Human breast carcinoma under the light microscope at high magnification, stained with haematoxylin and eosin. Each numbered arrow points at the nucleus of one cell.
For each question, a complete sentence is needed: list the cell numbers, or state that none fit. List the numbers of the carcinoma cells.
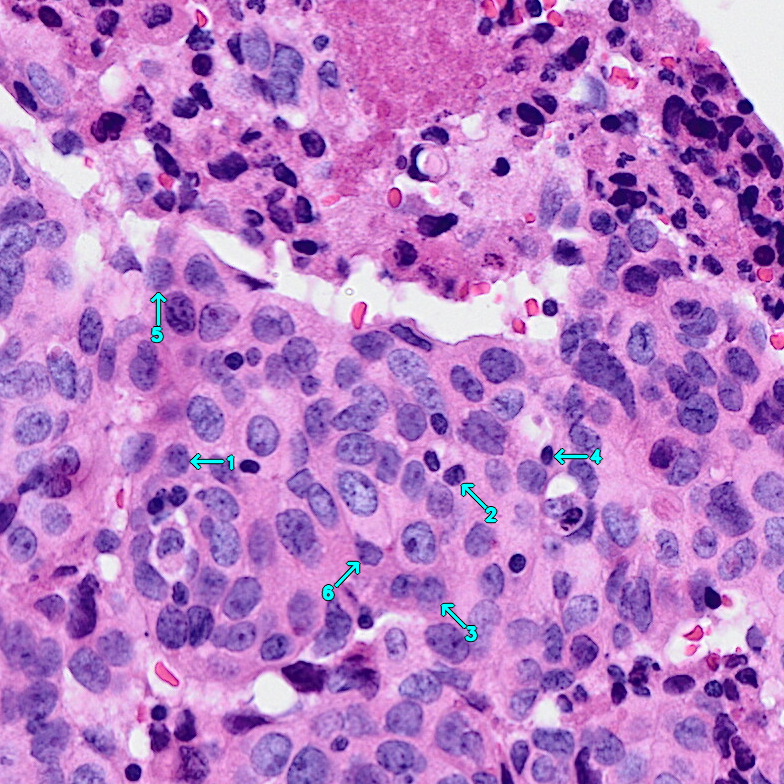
The cells whose numbers are 1, 3, 5 and 6 are carcinoma cells.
